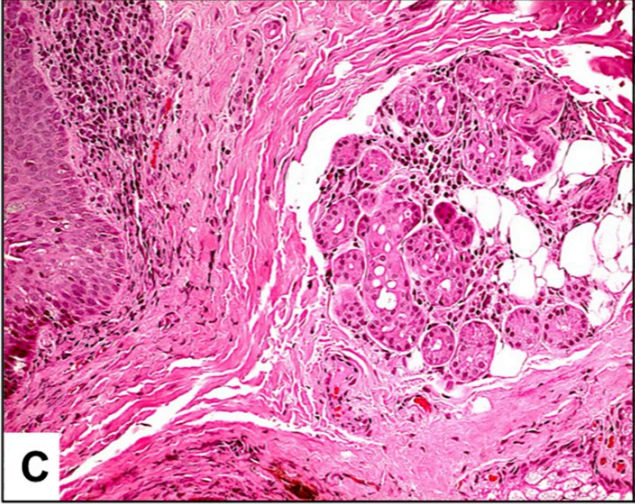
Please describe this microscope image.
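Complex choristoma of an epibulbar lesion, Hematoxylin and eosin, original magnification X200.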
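At the left edge there is a pink, layered, epidermal-like epithelium. Next to it is a band of prominent wavy pink fibers, sweeping diagonally across the field. Toward the right is a lobule of glandular elements. It is made of small rounded acini with pink cytoplasm and small central lumens, with scattered dark nuclei between them. Beside the glands lie clear, empty, rounded spaces. These belong to a small area of adipose tissue.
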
